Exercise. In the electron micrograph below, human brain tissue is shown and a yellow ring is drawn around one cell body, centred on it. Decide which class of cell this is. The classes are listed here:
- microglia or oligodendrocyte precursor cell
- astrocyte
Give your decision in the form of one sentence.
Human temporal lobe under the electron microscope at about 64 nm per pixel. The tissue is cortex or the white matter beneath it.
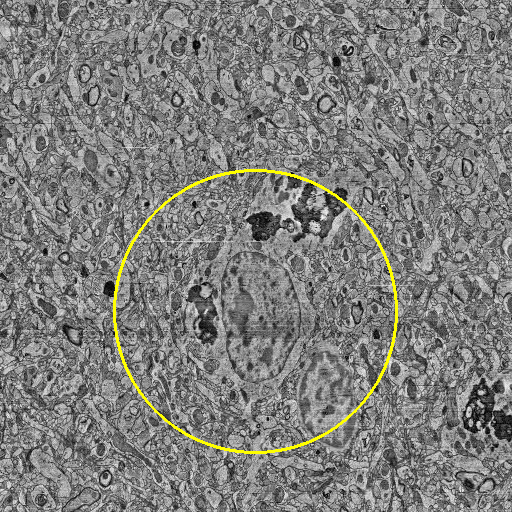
The cell body marked by the ring belongs to an astrocyte.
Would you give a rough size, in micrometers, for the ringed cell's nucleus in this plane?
About 9 by 5 micrometres in this plane.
